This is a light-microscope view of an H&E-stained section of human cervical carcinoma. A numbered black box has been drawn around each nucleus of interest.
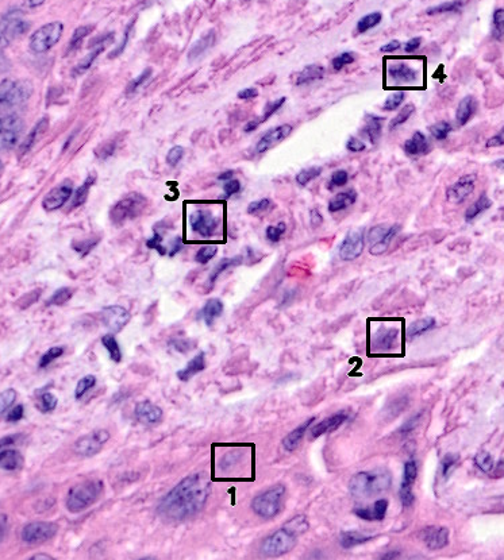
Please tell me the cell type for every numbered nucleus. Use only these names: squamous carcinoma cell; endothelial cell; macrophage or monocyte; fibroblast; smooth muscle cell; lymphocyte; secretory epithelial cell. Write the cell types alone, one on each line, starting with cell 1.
squamous carcinoma cell
fibroblast
lymphocyte
lymphocyte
